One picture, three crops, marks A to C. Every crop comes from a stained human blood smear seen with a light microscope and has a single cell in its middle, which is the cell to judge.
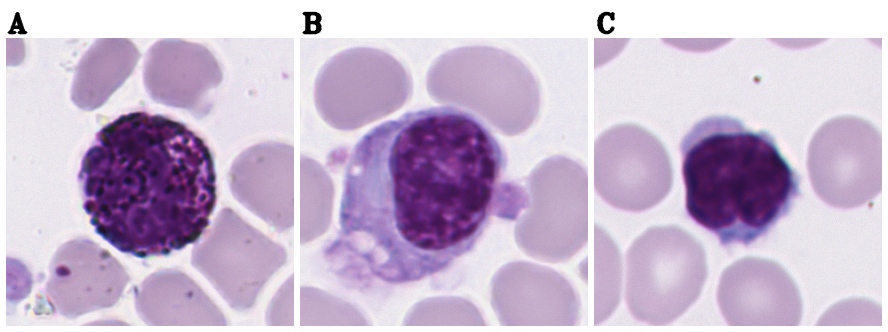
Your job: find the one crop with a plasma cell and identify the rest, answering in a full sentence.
Going crop by crop, crop B is a plasma cell, while crop A is a basophil and crop C is a lymphocyte.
